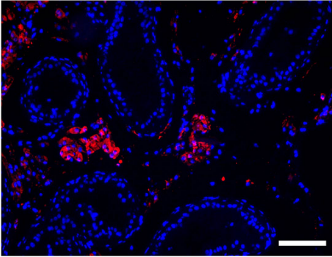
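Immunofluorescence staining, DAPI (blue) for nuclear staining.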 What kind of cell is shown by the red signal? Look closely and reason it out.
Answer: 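Red-filled cells sit in clusters in the spaces between tubule profiles. Red cells are not inside the tubules.
Conclusion: Leydig cells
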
